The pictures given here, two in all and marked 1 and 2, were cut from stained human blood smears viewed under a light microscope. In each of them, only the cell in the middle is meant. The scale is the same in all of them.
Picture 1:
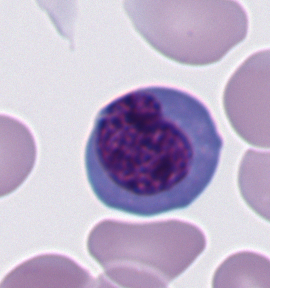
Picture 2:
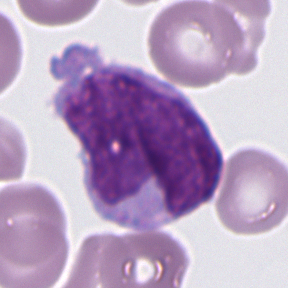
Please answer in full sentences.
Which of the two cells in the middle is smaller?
It is the cell in picture 1; the cell in picture 2 has about 1.5 times its area.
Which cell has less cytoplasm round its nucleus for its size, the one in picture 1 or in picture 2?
The nucleus fills more of the cell in picture 2 than in picture 1.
